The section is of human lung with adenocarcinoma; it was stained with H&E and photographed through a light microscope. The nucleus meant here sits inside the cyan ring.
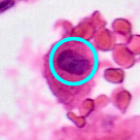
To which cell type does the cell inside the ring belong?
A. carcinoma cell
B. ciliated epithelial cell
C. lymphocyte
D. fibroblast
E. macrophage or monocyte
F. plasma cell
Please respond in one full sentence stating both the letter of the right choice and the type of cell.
The correct option is E, and the cell inside the ring is a macrophage or monocyte.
